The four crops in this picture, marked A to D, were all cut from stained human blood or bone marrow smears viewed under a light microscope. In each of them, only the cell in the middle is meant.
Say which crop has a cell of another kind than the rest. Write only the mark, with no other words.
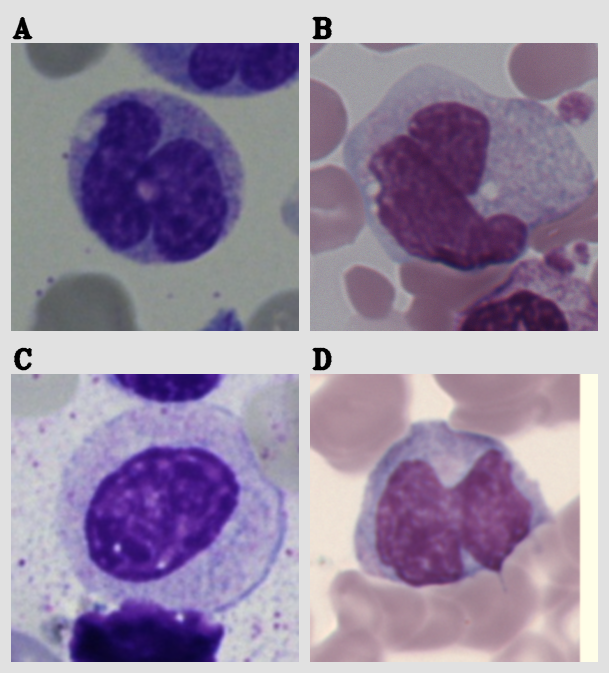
C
